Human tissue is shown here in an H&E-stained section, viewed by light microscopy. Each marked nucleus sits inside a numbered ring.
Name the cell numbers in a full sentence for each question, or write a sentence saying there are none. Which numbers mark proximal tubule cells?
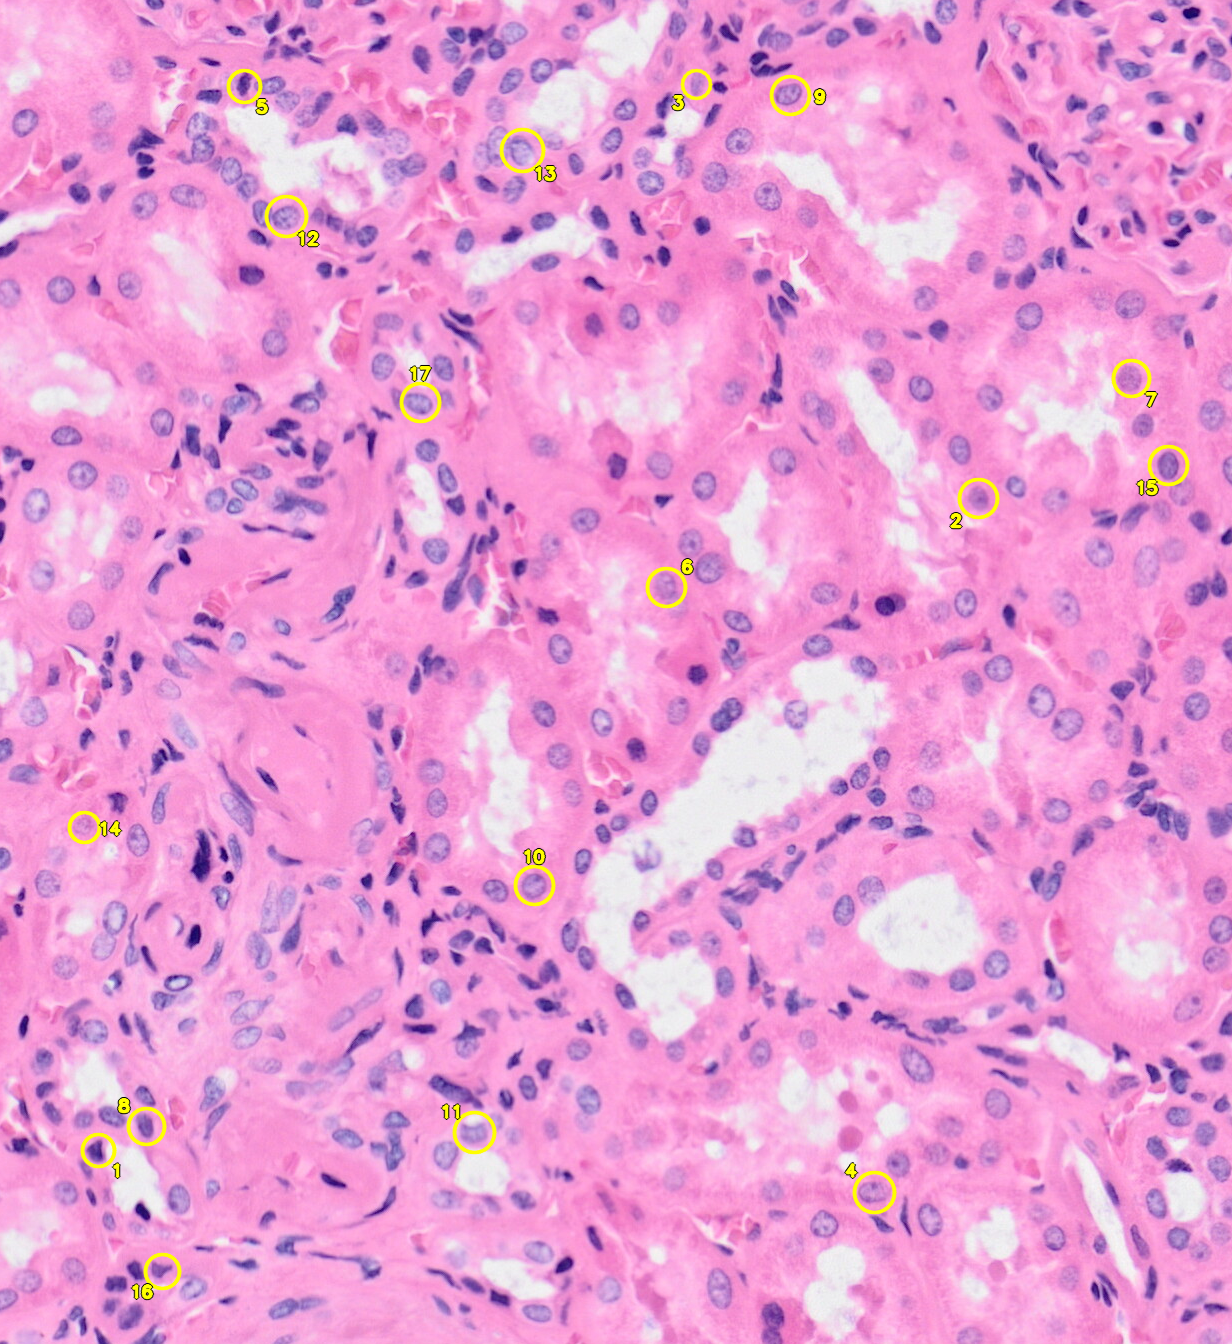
The cells whose numbers are 2, 4, 6, 7, 9, 10, 14 and 15 are proximal tubule cells.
